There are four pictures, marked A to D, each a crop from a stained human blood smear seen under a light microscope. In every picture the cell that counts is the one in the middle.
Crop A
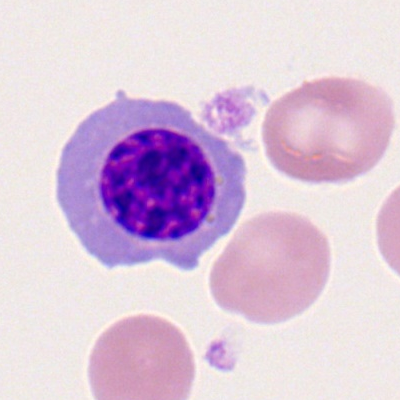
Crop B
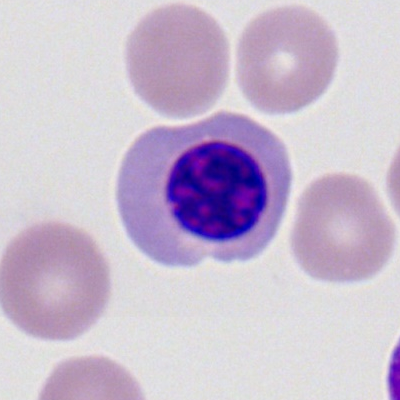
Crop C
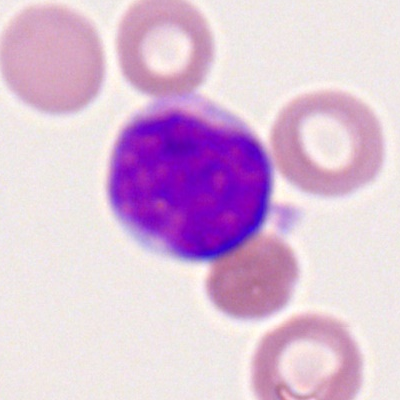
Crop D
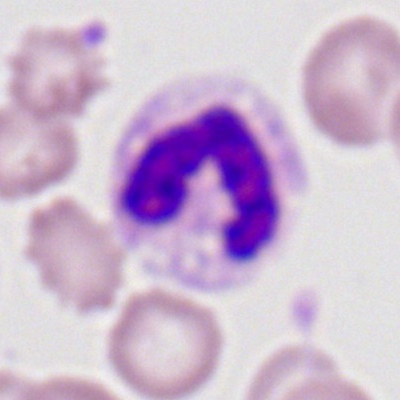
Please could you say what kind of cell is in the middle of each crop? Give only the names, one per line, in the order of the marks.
normoblast
normoblast
myeloblast
band neutrophil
